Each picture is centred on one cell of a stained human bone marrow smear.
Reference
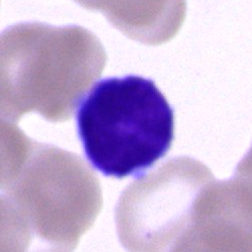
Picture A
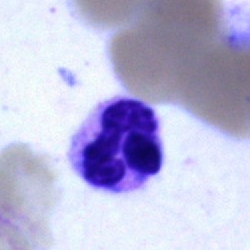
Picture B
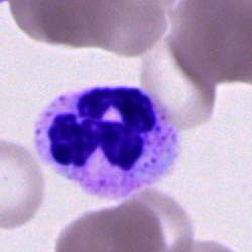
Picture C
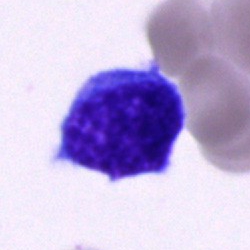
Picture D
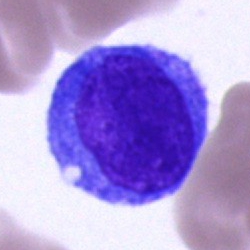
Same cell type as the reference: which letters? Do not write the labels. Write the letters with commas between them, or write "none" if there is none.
none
